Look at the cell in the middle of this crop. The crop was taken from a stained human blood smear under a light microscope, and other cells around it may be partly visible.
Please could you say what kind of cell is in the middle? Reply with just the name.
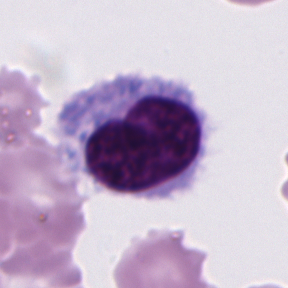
hairy cell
